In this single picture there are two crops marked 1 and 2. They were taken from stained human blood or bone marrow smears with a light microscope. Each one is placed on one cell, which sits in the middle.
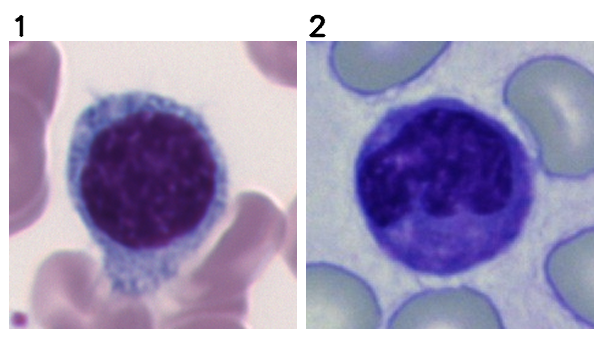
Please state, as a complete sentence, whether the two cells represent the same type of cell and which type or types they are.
No, a lymphocyte is what occupies crop 1, and a monocyte is what occupies crop 2.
